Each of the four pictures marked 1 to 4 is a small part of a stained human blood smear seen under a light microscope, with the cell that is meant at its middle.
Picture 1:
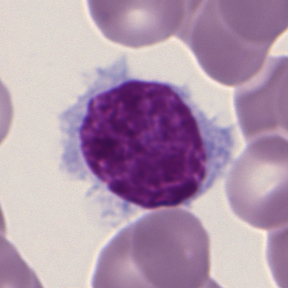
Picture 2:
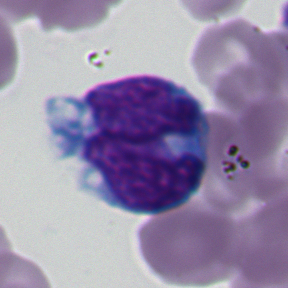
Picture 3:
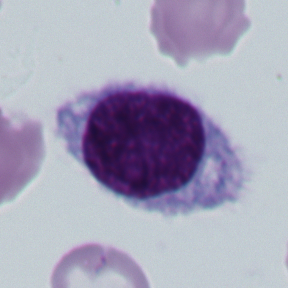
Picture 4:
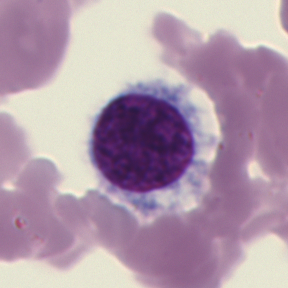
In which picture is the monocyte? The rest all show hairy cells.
2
